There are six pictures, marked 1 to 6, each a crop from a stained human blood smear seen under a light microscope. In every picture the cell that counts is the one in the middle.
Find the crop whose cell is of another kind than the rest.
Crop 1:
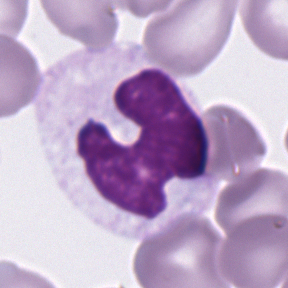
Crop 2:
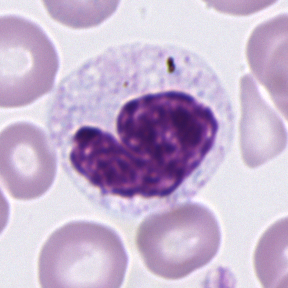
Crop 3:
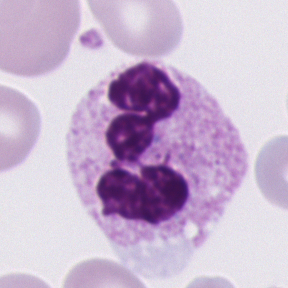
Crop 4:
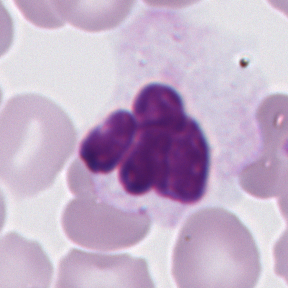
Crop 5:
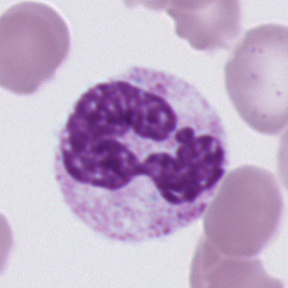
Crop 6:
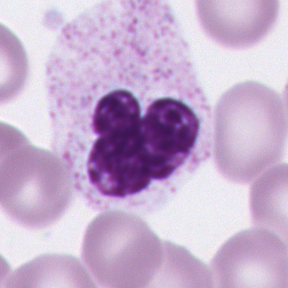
1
